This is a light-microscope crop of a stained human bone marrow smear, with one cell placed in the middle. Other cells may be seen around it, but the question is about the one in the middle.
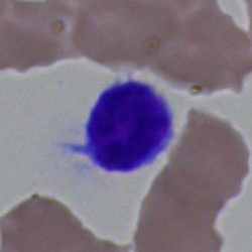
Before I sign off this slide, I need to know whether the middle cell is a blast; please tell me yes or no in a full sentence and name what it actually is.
No, mark the middle cell as a lymphocyte, not a blast.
